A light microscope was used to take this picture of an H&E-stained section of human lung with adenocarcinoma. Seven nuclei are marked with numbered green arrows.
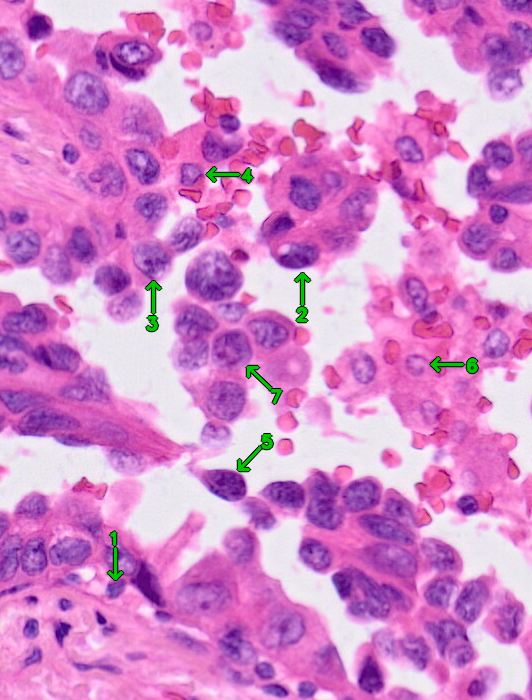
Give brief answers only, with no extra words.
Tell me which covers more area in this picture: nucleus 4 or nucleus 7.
7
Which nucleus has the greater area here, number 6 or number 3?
3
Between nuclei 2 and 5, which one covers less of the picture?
2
